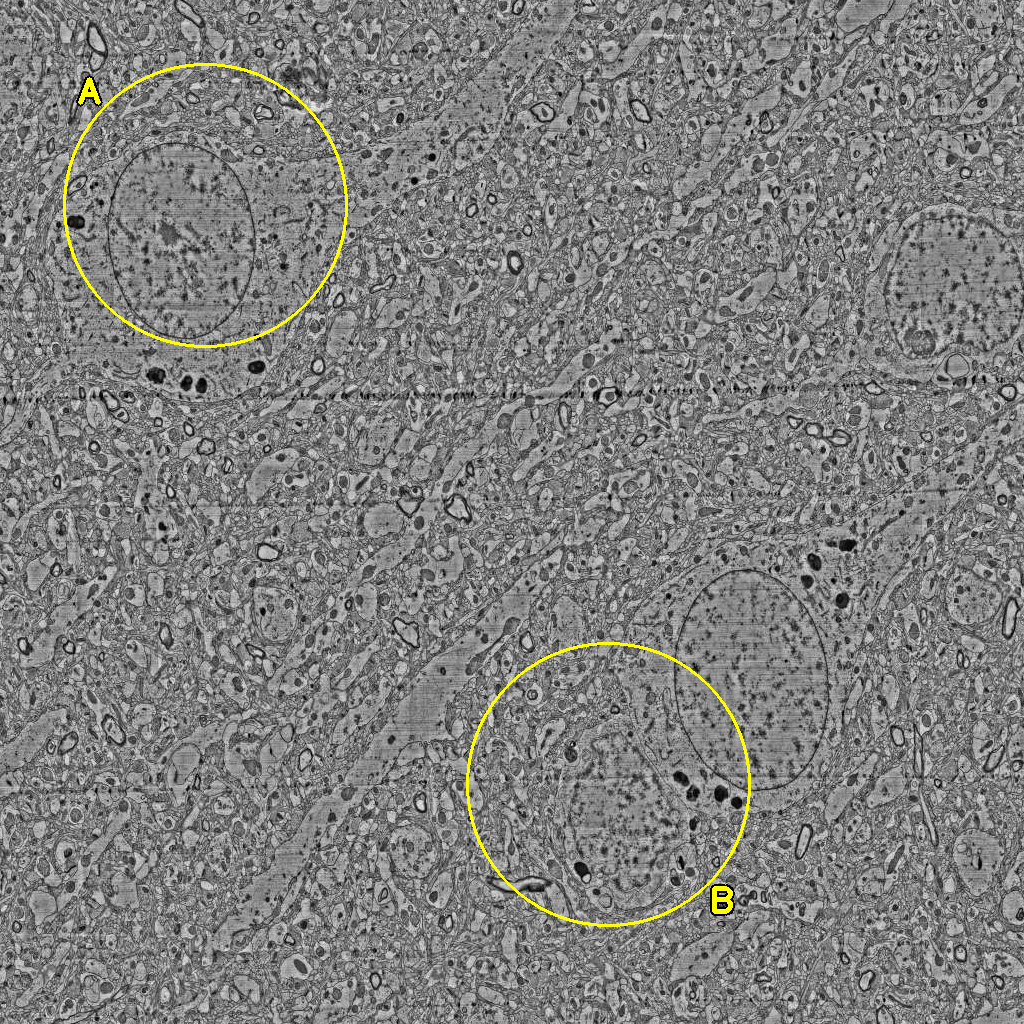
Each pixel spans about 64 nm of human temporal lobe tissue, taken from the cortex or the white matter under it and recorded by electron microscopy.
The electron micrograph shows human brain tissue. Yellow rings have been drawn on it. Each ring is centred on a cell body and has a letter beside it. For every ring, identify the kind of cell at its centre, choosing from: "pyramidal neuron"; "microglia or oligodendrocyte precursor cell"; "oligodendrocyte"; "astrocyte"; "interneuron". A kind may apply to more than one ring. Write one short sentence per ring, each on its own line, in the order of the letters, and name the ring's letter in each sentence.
Ring A is centred on a pyramidal neuron.
Ring B is centred on an interneuron.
